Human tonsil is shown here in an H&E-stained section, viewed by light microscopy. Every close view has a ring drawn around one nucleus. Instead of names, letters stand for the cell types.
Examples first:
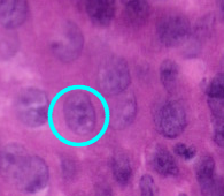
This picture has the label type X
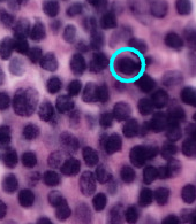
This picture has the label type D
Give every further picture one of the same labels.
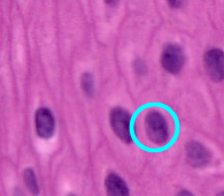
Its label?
type X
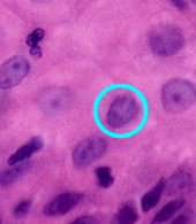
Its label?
type X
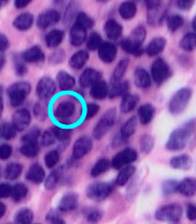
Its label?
type D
